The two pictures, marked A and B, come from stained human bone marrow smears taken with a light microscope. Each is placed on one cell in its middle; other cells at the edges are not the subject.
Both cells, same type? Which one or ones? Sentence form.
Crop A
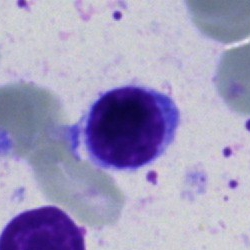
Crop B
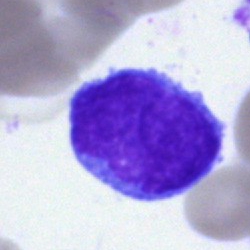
No, the labels go like this: crop A is a lymphocyte and crop B is a blast.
